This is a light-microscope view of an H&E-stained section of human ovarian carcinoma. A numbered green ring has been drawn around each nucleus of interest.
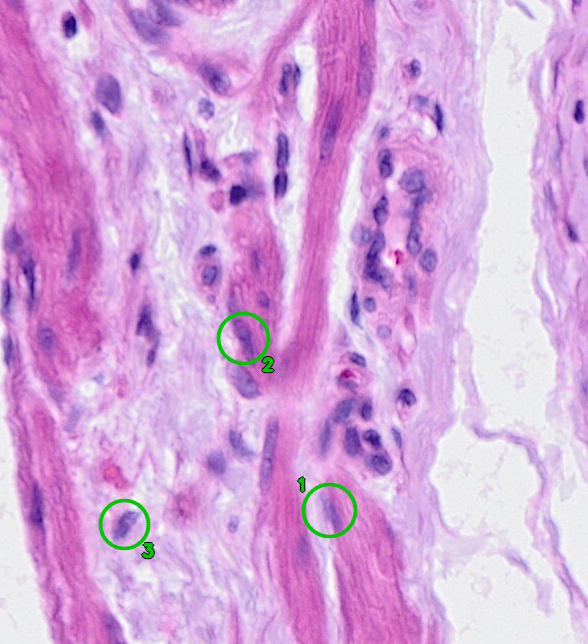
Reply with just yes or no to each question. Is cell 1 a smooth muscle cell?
yes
